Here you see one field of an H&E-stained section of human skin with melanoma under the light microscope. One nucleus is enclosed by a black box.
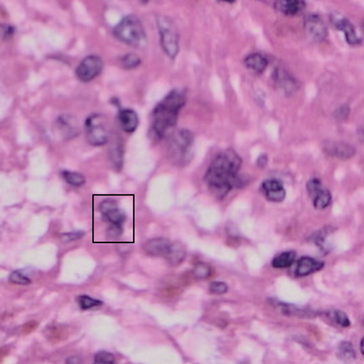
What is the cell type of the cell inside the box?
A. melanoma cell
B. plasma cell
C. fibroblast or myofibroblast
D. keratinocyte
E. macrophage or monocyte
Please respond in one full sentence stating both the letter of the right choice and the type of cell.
Option E is the one to take: the cell inside the box is a macrophage or monocyte.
